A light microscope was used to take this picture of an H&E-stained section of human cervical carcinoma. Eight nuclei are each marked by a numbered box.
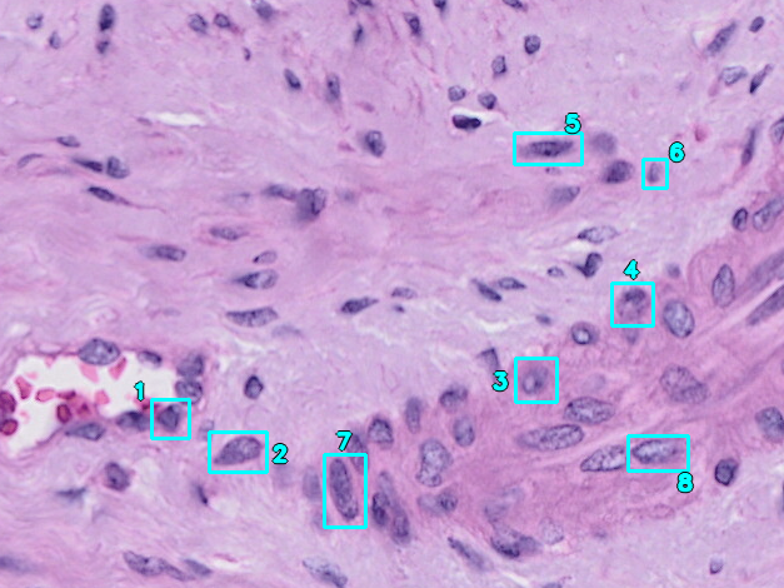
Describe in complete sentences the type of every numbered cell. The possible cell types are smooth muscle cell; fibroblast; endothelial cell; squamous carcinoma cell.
Cell 1 is an endothelial cell, cell 2 is a fibroblast, cell 3 is a smooth muscle cell, cell 4 is a smooth muscle cell, cell 5 is a fibroblast, cell 6 is a fibroblast, cell 7 is a smooth muscle cell and cell 8 is a smooth muscle cell.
